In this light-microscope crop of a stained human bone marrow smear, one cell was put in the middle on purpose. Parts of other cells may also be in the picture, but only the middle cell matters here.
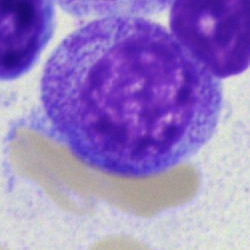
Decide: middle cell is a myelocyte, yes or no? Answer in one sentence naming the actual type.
Yes, the cell found at the centre of the crop is a myelocyte.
